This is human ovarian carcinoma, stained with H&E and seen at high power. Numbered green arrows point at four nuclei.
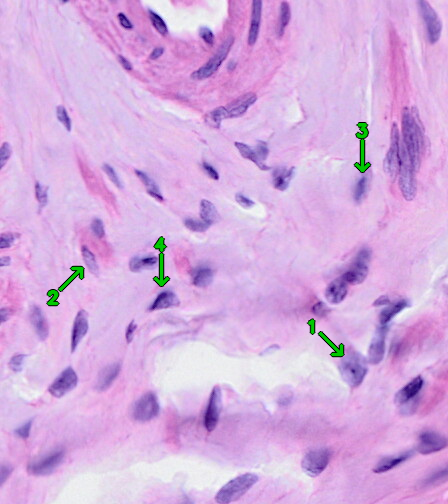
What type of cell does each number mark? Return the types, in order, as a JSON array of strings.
["fibroblast", "smooth muscle cell", "fibroblast", "fibroblast"]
